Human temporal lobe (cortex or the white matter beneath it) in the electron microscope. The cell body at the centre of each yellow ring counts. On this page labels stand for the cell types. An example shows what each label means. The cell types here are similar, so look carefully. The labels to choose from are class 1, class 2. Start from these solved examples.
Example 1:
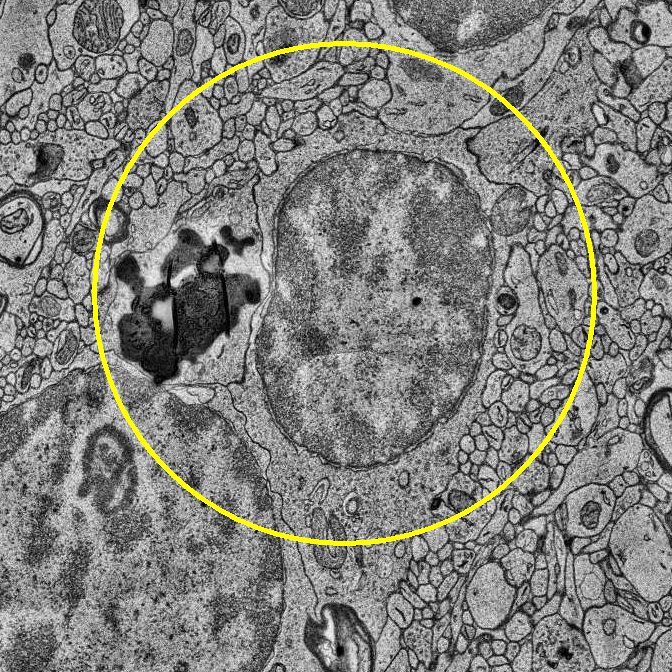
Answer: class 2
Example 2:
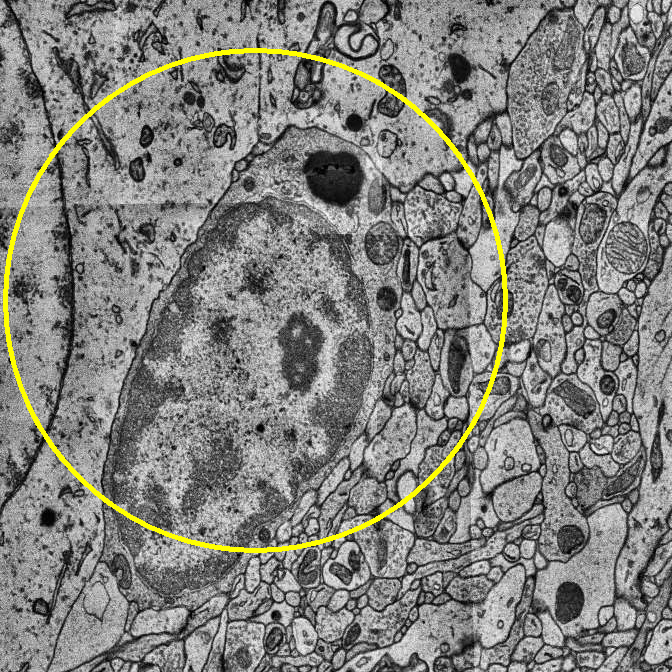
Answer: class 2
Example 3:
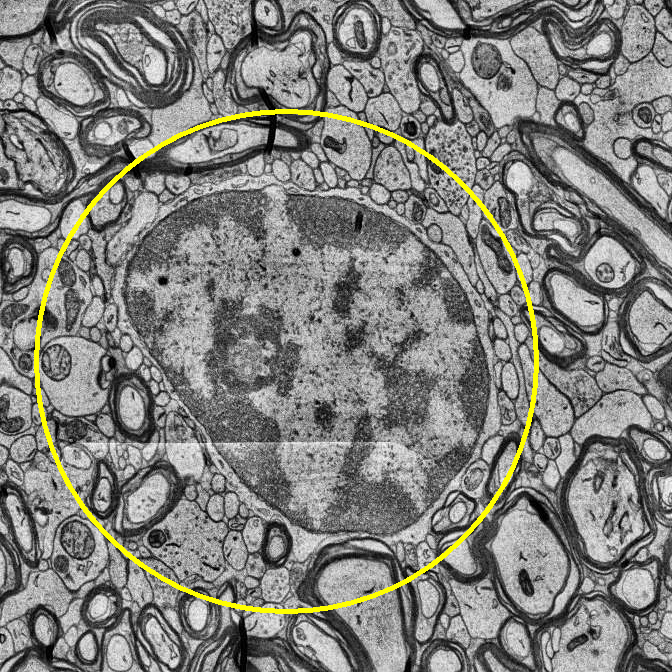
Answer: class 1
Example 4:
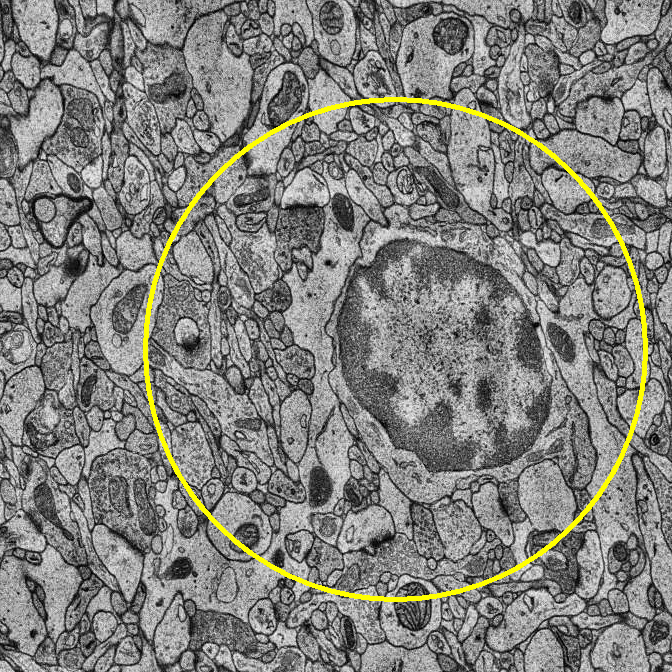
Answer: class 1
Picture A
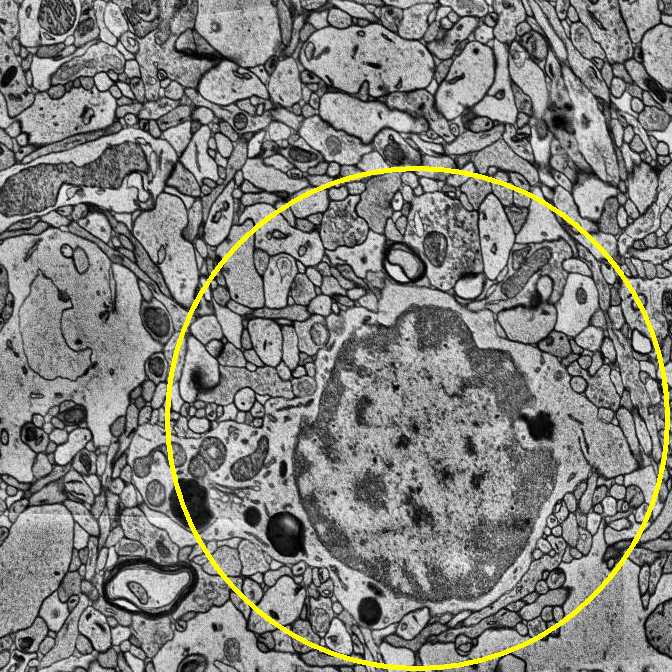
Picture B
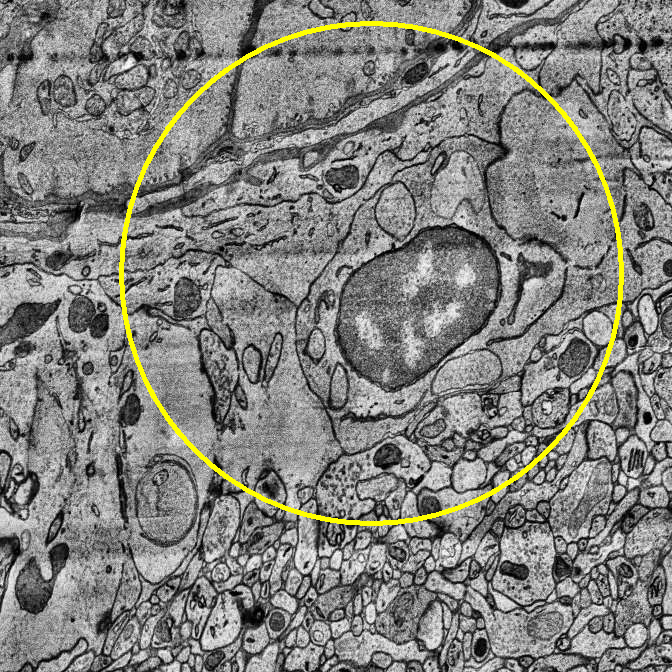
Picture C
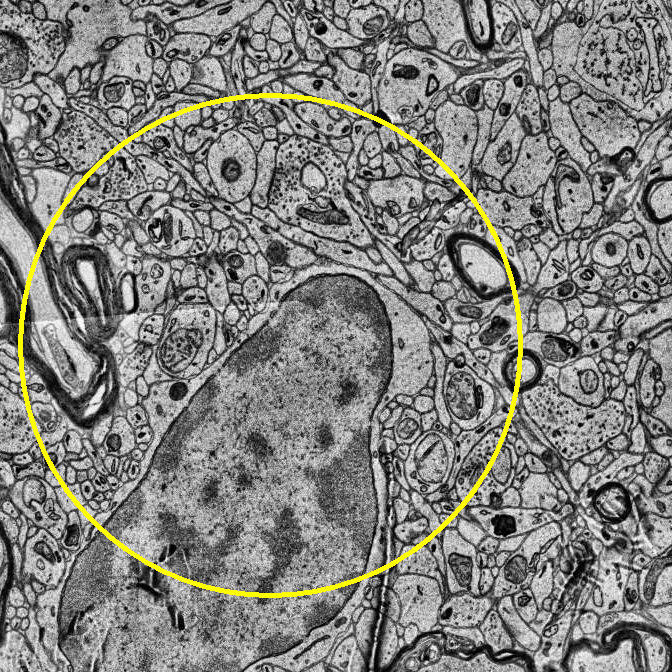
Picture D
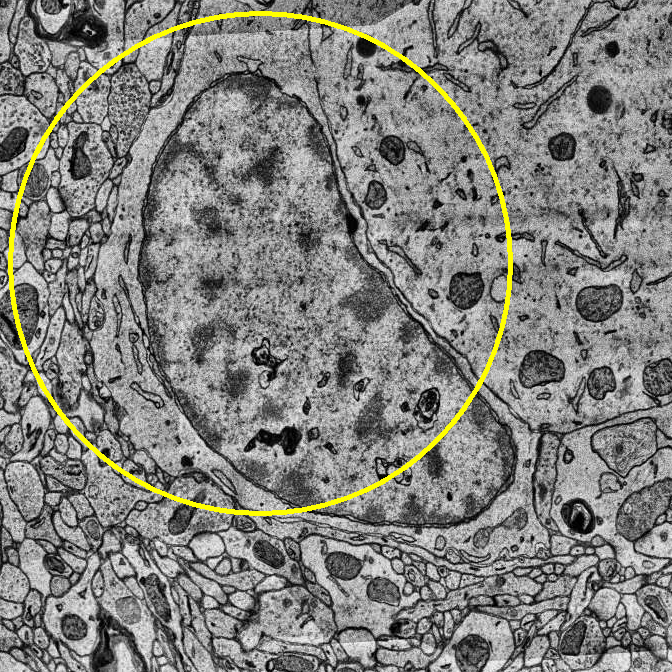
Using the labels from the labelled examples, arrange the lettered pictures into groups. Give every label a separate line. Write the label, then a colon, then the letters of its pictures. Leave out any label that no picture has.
class 1: A, B, C, D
